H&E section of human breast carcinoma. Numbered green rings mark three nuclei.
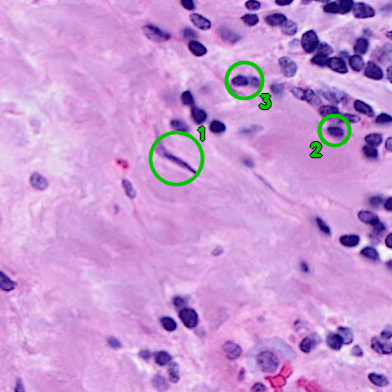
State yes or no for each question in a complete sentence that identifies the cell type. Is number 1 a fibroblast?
Yes, what number 1 marks is a fibroblast.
